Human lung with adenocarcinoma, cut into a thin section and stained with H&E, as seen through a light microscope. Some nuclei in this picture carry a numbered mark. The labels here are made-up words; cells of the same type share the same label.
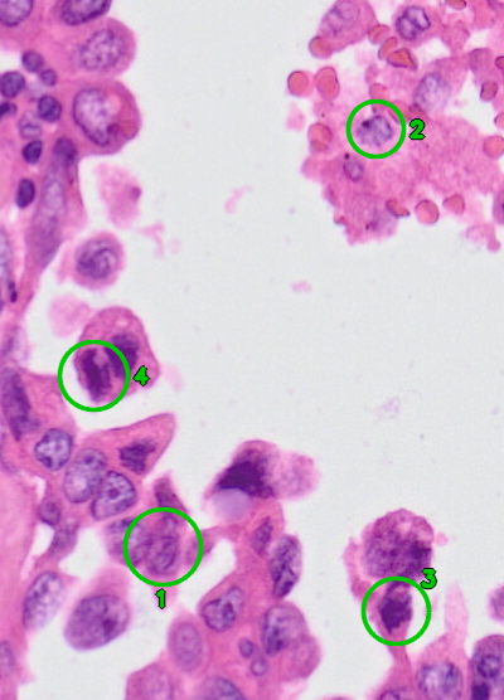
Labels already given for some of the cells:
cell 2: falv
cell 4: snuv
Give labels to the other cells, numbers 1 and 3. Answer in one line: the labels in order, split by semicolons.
snuv; snuv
